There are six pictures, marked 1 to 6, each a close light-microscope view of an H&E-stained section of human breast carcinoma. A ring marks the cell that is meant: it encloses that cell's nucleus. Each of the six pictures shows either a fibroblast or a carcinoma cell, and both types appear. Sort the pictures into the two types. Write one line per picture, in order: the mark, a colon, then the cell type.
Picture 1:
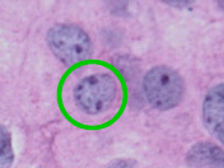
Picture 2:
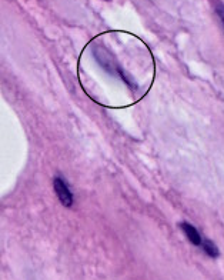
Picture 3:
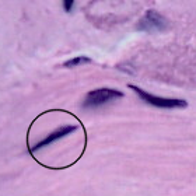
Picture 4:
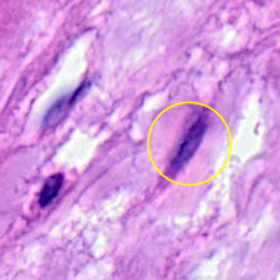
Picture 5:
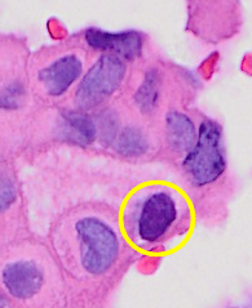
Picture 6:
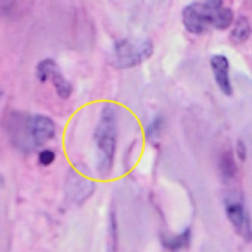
1: carcinoma cell
2: fibroblast
3: fibroblast
4: fibroblast
5: carcinoma cell
6: fibroblast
